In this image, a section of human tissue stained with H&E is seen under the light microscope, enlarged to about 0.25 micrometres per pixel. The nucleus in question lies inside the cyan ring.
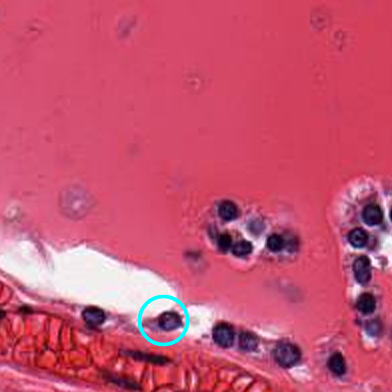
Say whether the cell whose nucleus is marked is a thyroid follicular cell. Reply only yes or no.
yes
